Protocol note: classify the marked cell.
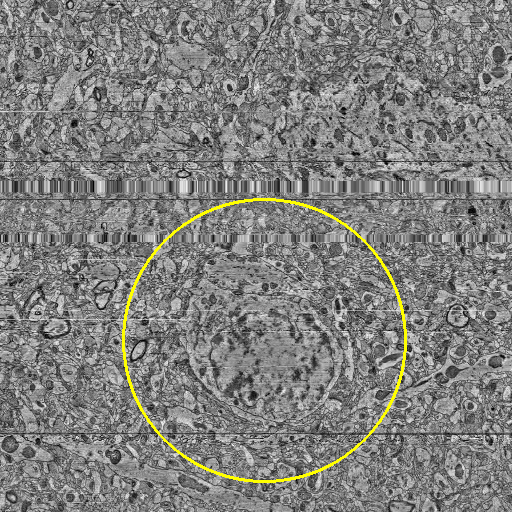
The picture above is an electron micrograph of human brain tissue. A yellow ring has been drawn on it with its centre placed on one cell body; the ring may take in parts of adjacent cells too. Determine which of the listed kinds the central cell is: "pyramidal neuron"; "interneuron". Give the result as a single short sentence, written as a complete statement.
The central cell is an interneuron.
